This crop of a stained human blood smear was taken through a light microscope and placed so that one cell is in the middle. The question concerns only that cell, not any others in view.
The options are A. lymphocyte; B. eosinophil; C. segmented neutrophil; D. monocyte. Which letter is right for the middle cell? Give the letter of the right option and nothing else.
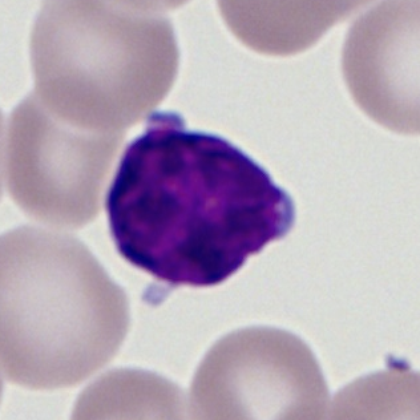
A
